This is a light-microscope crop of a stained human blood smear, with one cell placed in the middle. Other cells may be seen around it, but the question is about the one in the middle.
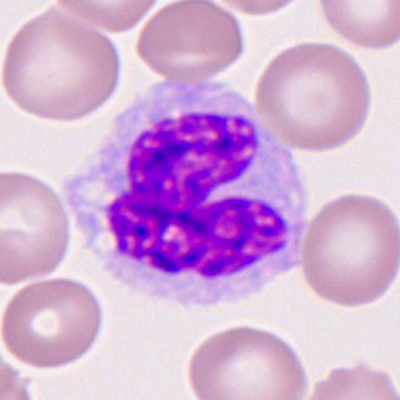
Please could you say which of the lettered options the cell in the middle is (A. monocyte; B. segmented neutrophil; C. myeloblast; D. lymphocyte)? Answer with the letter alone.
A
